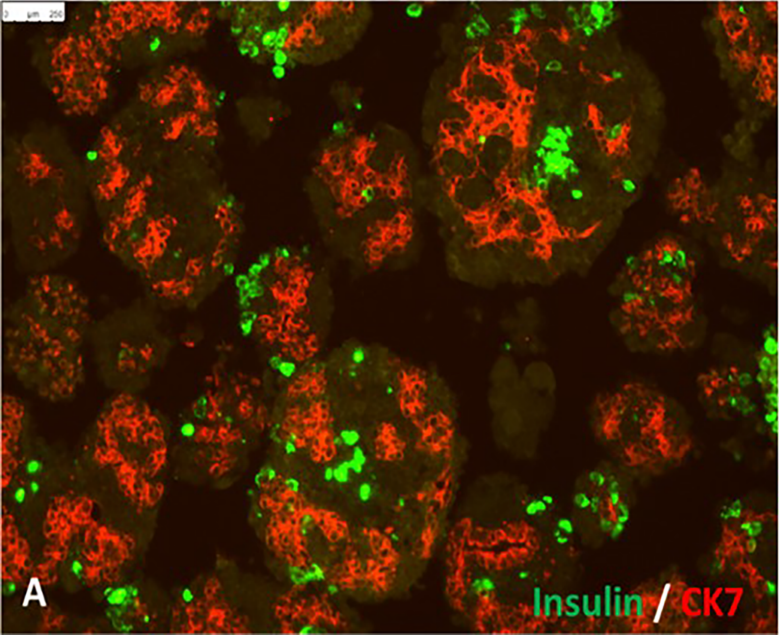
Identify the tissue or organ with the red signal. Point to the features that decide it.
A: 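Red fluorescence outlines the borders of many tightly packed cells in a net-like pattern.
Answer: pancreatic exocrine tissue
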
